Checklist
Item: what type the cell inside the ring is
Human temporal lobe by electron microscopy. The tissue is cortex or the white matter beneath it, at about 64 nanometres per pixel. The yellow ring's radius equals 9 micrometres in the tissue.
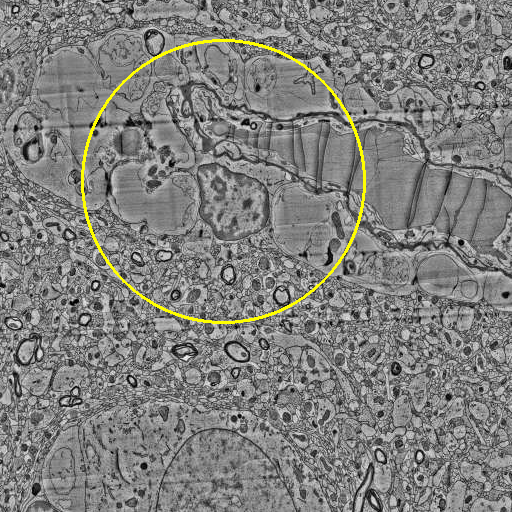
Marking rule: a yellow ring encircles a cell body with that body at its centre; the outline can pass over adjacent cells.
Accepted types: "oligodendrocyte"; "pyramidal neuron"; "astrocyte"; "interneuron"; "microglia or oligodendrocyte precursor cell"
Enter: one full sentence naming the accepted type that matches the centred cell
The entry is that a microglial cell or oligodendrocyte precursor cell lies at the centre of the yellow ring.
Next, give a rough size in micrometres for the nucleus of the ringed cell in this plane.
Approximately 4 micrometers across in this plane.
